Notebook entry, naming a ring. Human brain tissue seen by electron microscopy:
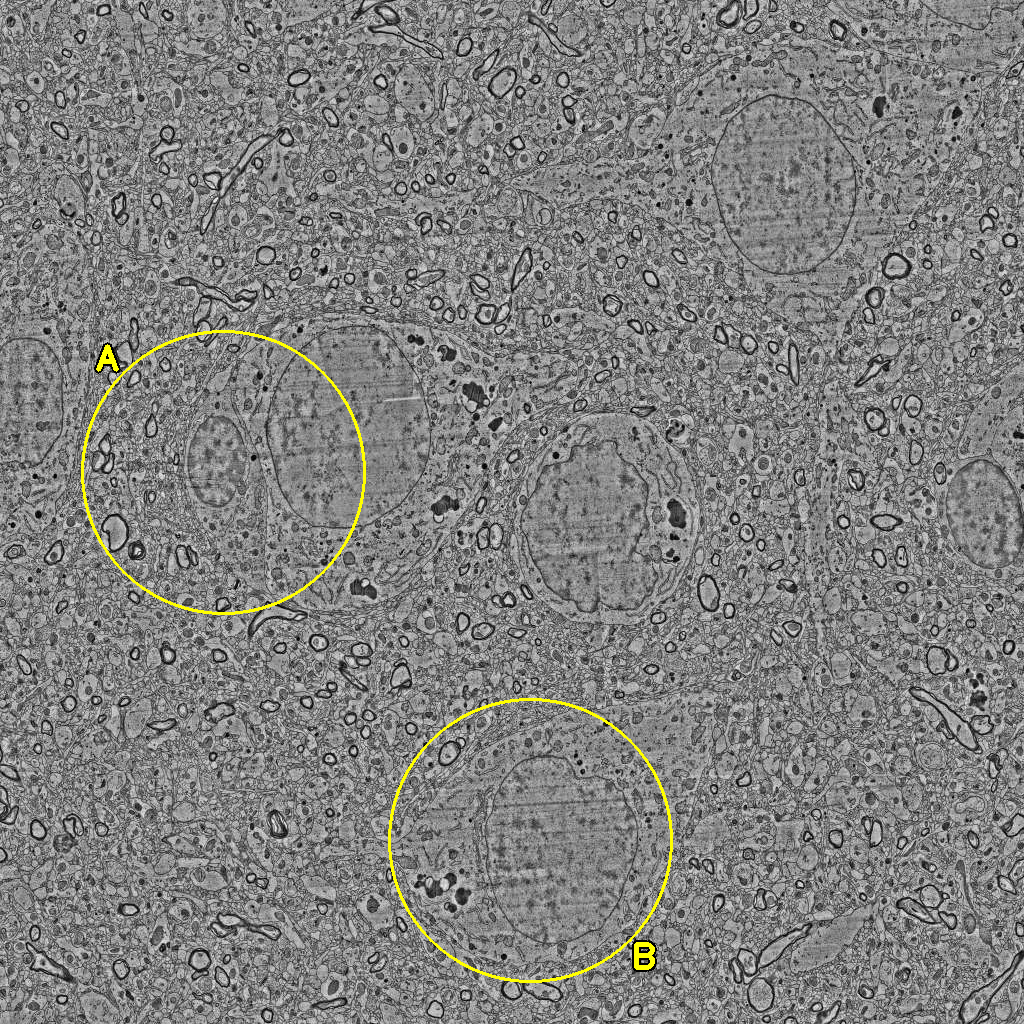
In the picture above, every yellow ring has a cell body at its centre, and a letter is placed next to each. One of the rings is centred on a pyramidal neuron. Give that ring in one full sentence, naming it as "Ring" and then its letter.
Ring B is the ring whose centre holds the cell asked for.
